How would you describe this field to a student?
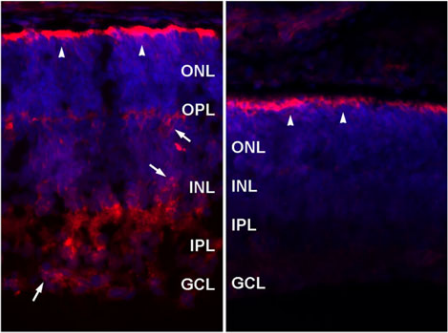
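Two retina sections are shown with blue-stained nuclear layers. In both, a bright red band runs along the outer edge of the retina where the photoreceptor outer segments lie. In the right section the inner layers are almost free of red.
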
